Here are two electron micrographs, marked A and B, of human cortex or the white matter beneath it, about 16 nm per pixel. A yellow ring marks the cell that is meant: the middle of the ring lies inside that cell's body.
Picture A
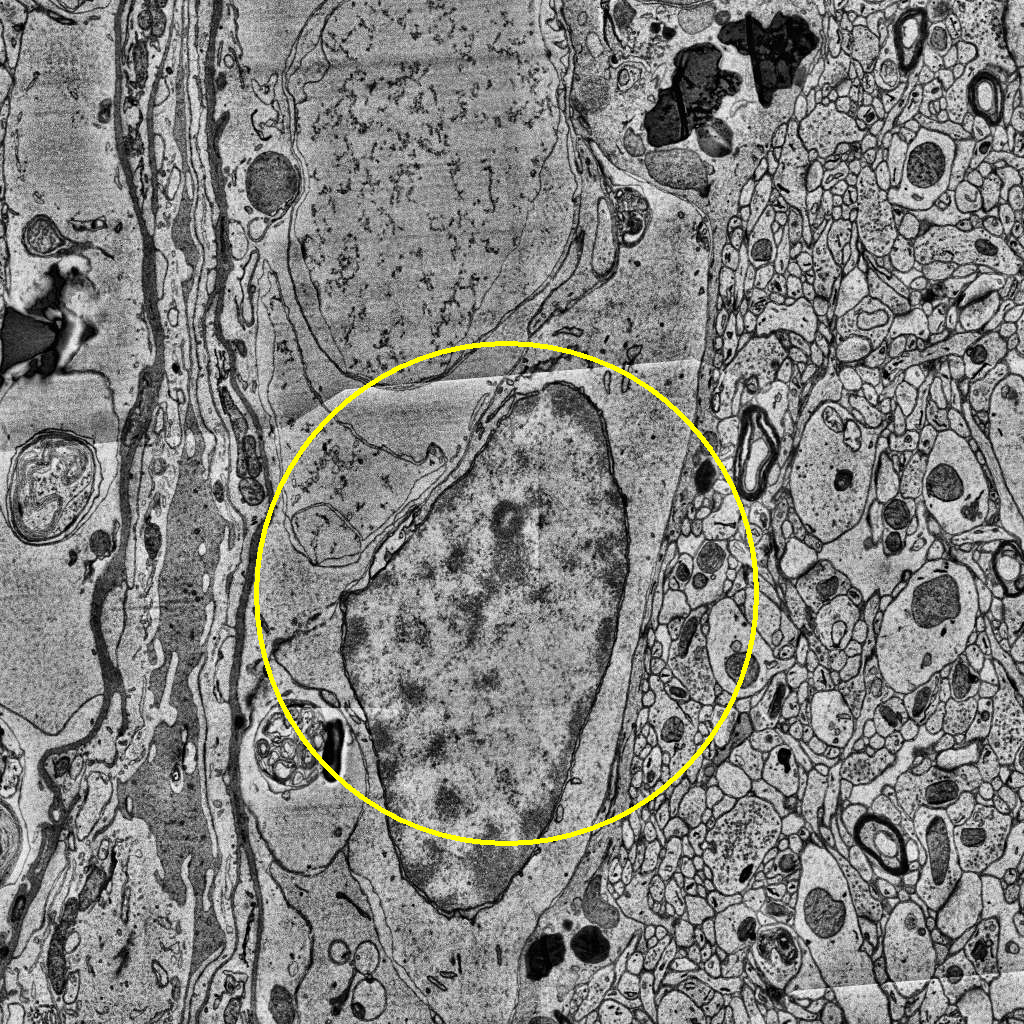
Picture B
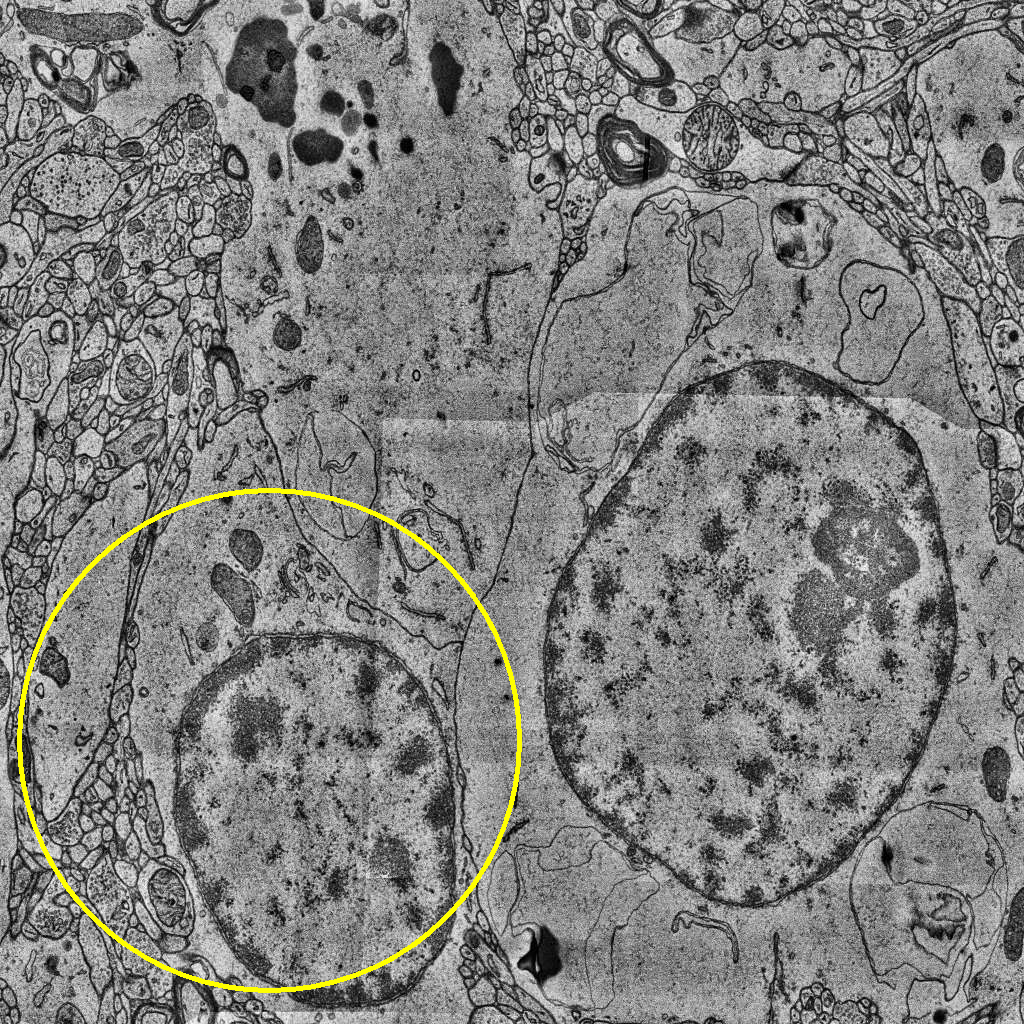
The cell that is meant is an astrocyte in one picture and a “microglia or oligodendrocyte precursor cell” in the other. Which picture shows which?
Picture A is of a “microglia or oligodendrocyte precursor cell”, and picture B is of an astrocyte.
